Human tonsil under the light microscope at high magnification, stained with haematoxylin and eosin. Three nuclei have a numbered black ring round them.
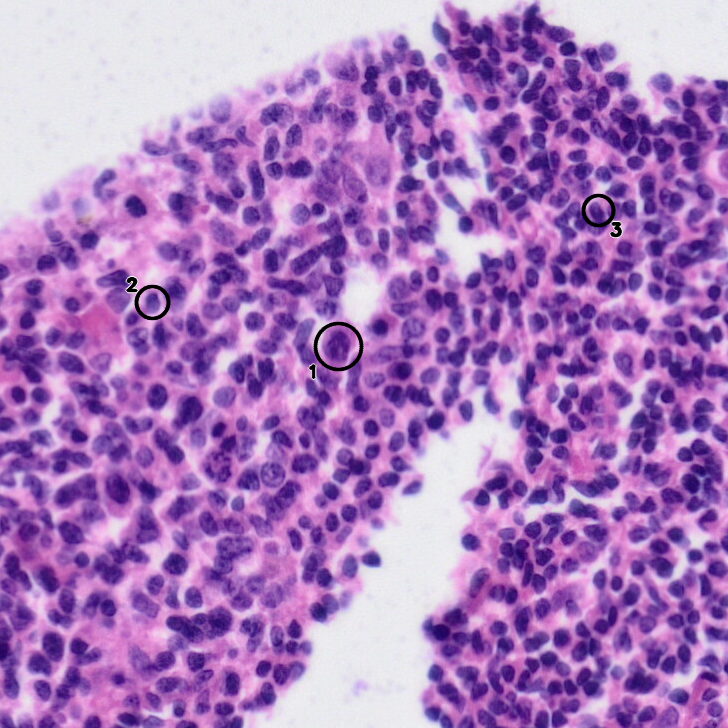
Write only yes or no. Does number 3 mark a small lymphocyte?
yes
